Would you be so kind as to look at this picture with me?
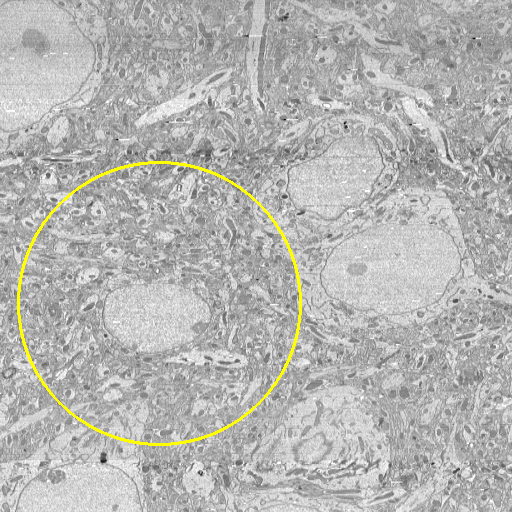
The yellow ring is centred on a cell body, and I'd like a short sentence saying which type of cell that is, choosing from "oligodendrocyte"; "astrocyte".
The cell body in the ring belongs to an astrocyte.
